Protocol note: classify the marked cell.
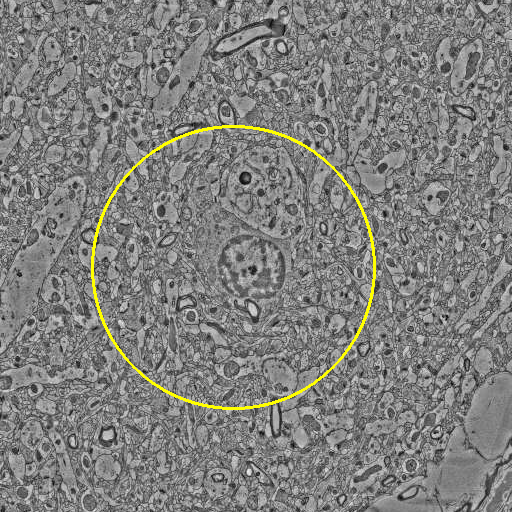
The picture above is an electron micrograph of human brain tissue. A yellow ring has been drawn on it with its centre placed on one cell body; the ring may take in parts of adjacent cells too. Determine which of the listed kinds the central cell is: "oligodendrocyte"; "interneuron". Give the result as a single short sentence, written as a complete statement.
The central cell is an oligodendrocyte.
